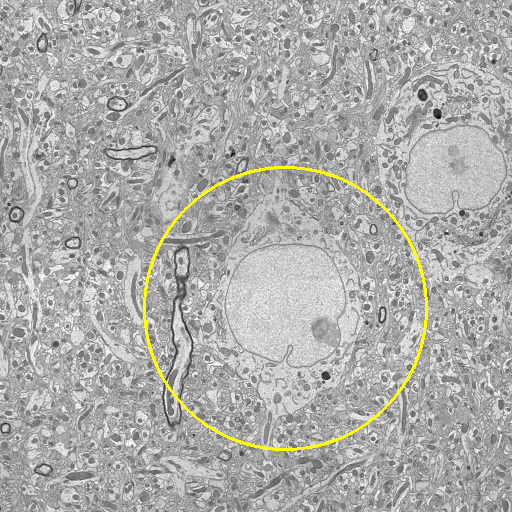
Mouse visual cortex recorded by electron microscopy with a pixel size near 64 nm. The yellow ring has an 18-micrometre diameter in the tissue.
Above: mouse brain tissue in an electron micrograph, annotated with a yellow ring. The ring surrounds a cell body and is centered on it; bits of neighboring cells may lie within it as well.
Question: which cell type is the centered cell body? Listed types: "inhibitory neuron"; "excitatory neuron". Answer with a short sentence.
The centered cell body is an excitatory neuron.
